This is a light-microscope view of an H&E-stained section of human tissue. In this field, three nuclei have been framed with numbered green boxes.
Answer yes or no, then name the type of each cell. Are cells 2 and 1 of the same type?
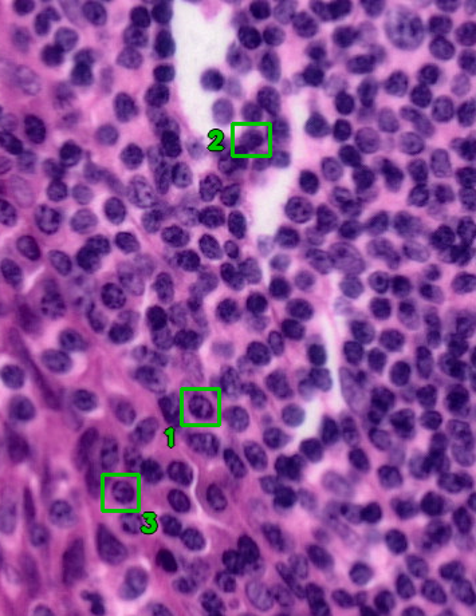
No, cell 2 is a small lymphocyte and cell 1 is a plasma cell.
